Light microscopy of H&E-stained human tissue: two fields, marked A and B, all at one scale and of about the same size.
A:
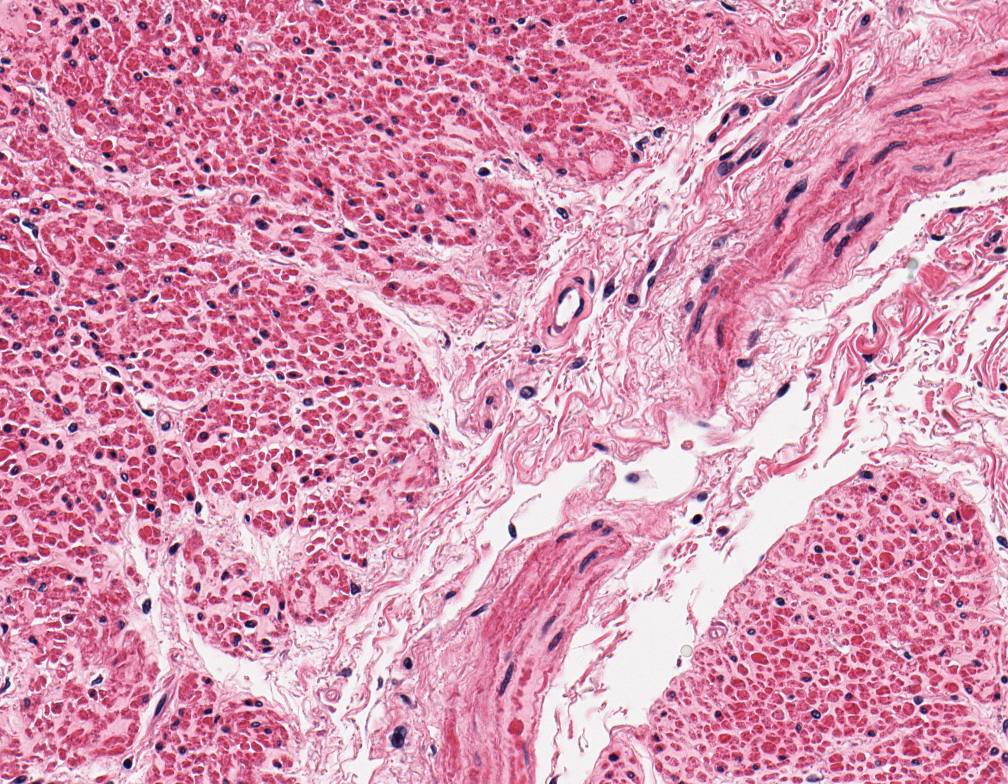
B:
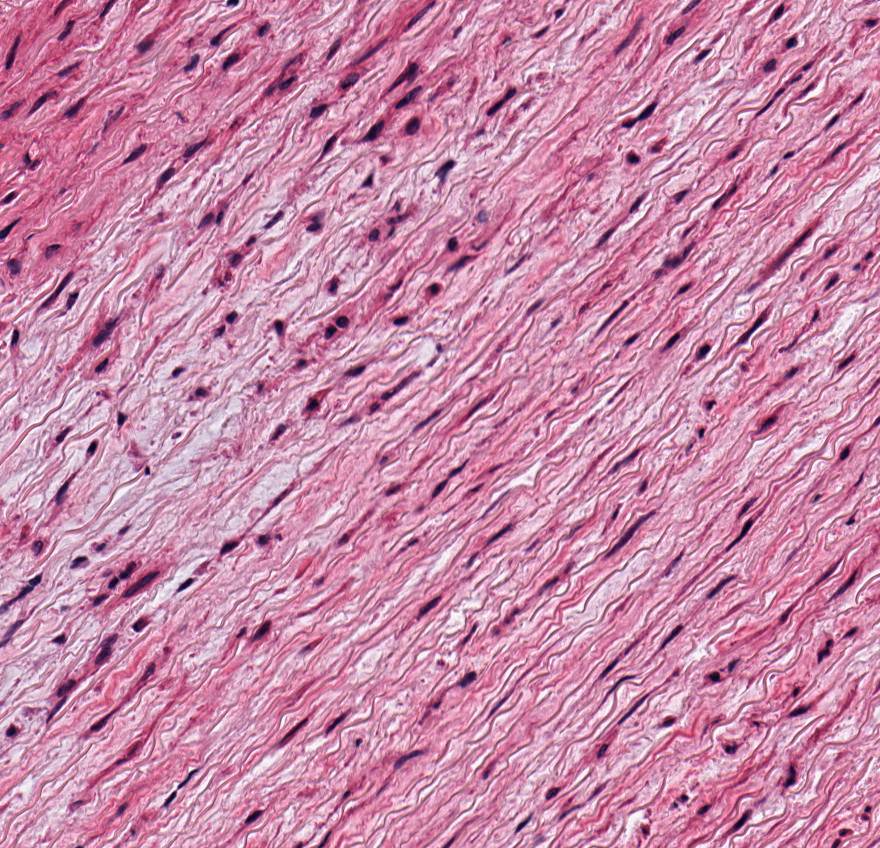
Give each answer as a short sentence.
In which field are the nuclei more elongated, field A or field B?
On the whole the nuclei of field B are more drawn out than those of field A.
